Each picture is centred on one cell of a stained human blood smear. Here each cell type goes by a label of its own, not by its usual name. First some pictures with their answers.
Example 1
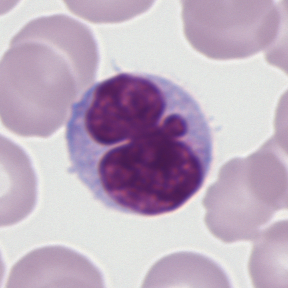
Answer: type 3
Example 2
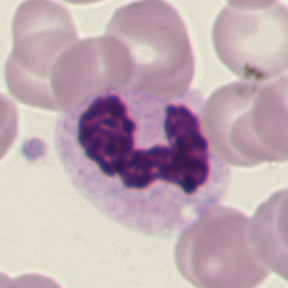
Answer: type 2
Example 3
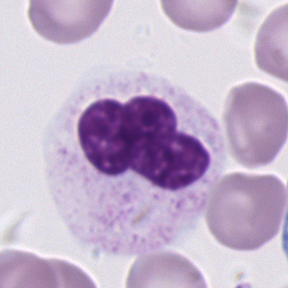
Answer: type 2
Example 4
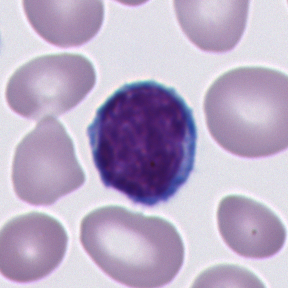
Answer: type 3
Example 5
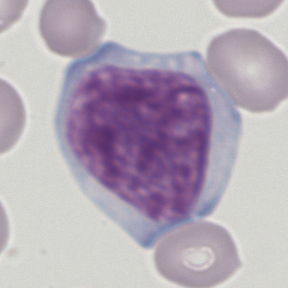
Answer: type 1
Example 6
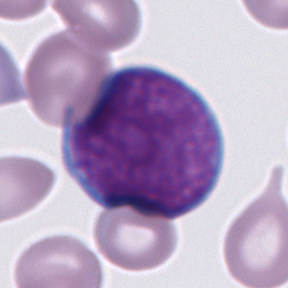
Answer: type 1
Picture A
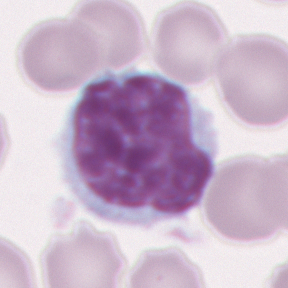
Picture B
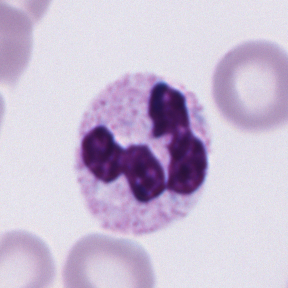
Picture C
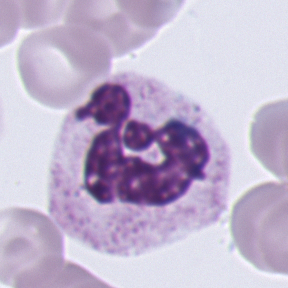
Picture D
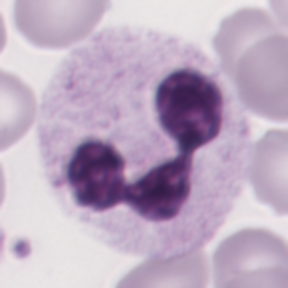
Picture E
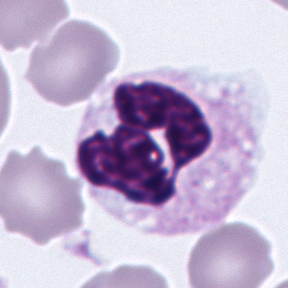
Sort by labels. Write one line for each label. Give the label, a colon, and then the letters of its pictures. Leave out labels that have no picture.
type 3: A
type 2: B, C, D, E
